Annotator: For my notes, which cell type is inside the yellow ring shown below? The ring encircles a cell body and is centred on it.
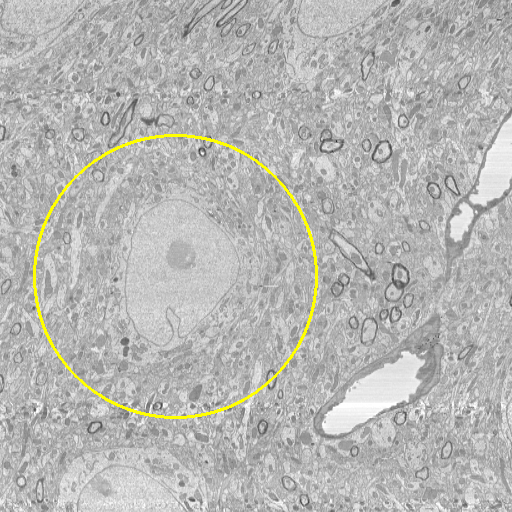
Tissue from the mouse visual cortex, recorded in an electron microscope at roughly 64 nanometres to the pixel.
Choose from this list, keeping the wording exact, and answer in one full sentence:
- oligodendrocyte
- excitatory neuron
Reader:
At the centre of the yellow ring there is an excitatory neuron, as shown in the picture.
